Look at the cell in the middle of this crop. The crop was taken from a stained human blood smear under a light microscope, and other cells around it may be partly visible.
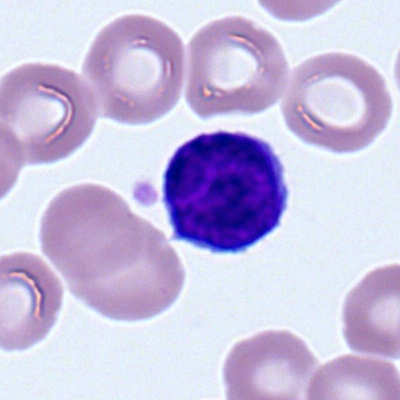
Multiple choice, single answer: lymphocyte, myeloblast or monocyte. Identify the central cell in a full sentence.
The center cell of this crop is a lymphocyte.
